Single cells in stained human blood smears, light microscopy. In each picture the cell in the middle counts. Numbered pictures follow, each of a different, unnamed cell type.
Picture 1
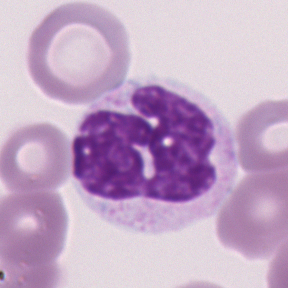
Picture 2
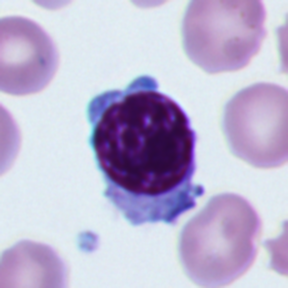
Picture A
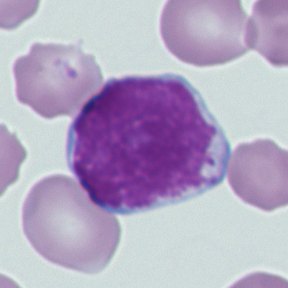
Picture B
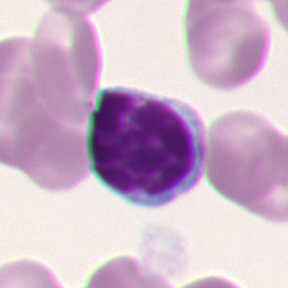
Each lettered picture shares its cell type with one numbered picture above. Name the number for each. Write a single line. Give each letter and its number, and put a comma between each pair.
A 2, B 2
